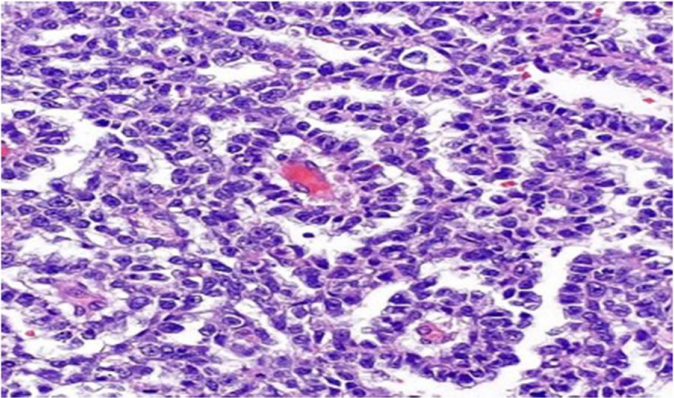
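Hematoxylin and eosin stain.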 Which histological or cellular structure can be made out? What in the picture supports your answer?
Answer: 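Schiller-Duval bodies. A central small vessel with red blood cells is wrapped by a cuff of tumor cells. The cuffed vessel sits within a clear space lined by further tumor cells. Tumor cells form a loose network of channels and spaces.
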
